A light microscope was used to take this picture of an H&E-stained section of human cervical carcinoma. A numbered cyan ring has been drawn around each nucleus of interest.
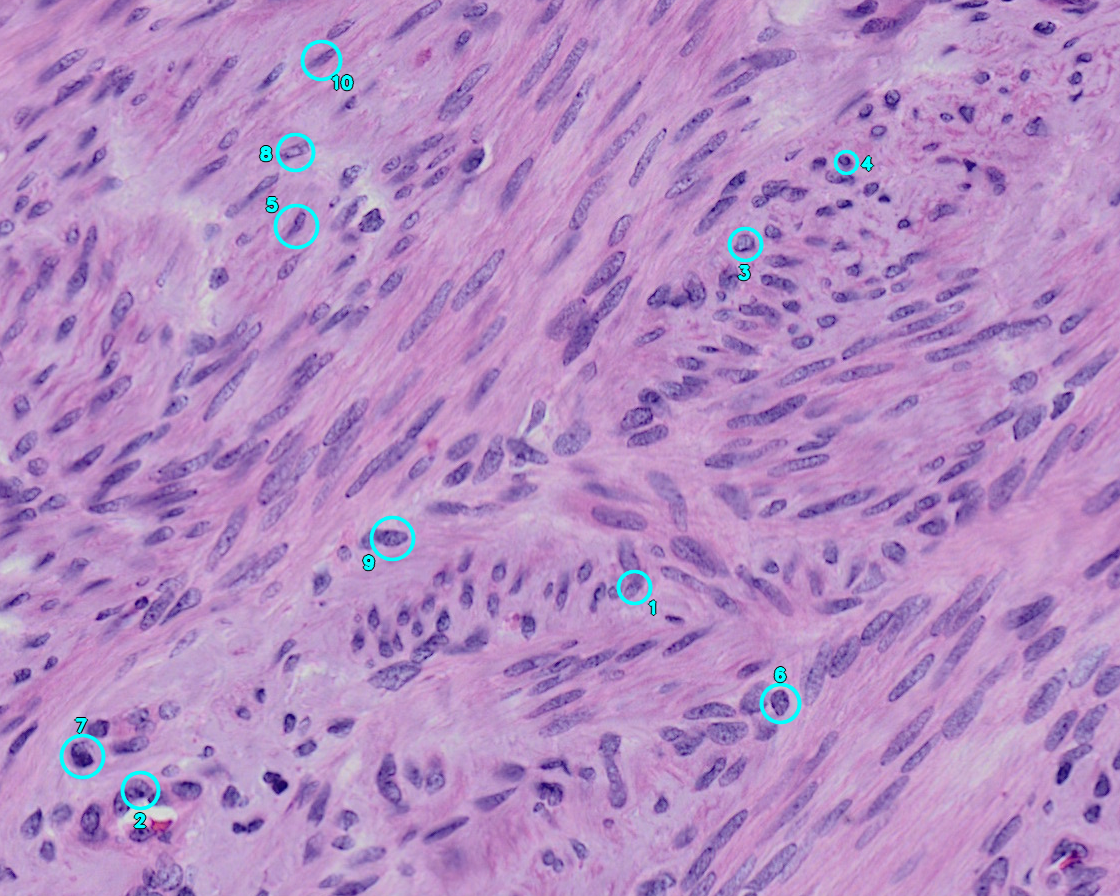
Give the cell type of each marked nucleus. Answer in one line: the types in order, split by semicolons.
smooth muscle cell; endothelial cell; smooth muscle cell; smooth muscle cell; smooth muscle cell; lymphocyte; lymphocyte; smooth muscle cell; fibroblast; smooth muscle cell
